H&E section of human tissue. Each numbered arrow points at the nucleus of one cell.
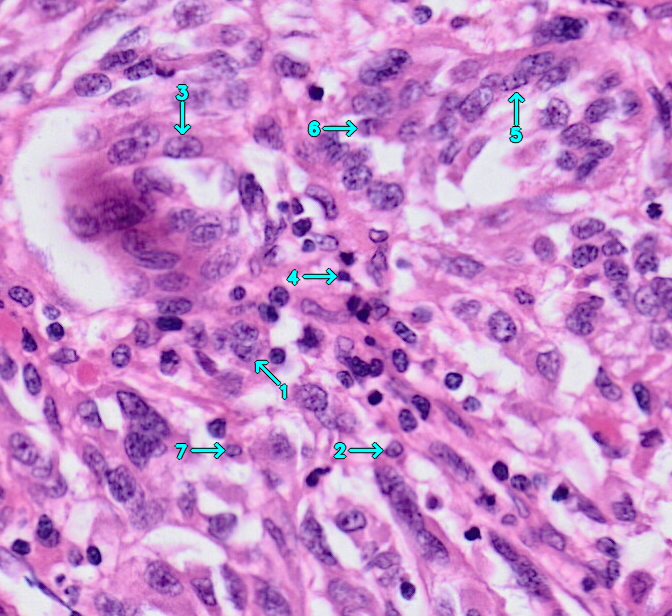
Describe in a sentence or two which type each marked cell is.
Cells 1, 3, 5 and 6 are melanoma cells. Cells 2 and 7 are macrophages or monocytes. Cell 4 is a lymphocyte.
